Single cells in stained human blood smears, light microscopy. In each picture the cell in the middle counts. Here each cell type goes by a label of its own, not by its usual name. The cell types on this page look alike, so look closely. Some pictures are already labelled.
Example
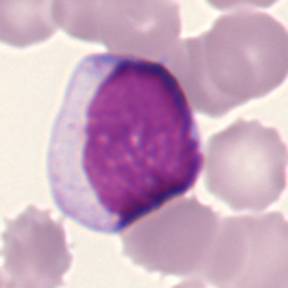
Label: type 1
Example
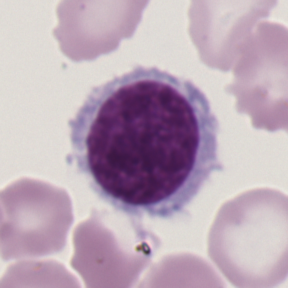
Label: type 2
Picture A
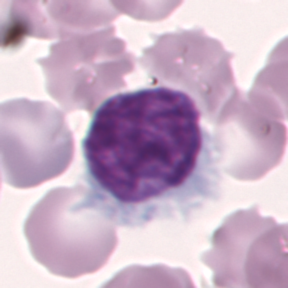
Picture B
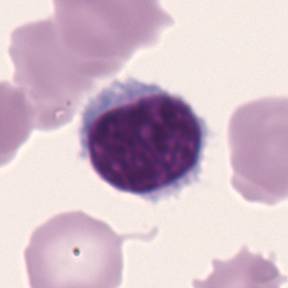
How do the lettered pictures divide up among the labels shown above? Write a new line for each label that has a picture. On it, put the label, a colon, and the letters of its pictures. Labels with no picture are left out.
type 2: A, B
